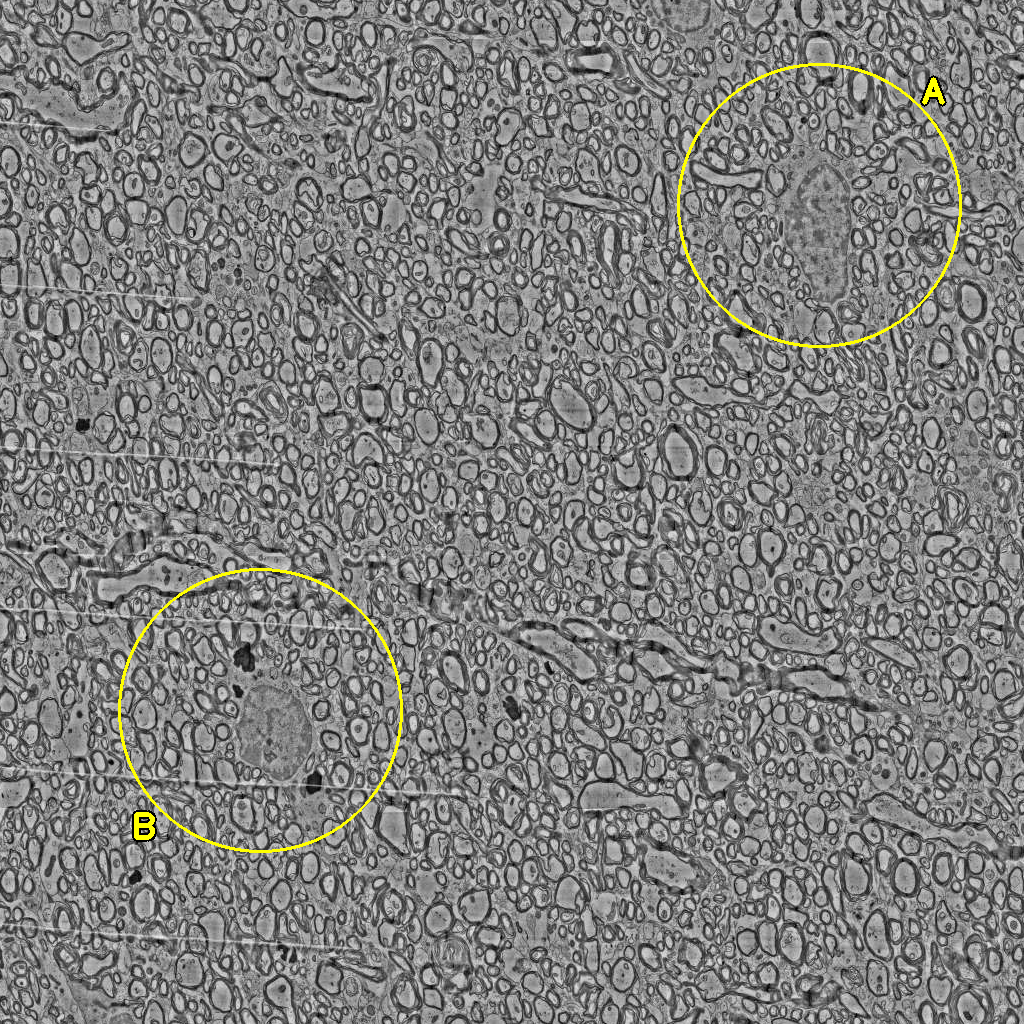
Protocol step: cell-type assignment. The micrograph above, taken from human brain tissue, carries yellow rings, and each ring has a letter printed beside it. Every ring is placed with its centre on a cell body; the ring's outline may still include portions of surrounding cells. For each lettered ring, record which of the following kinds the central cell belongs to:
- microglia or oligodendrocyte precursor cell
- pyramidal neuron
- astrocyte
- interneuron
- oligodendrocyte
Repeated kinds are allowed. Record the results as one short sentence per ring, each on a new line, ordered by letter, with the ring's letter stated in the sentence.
In ring A, the central cell is an oligodendrocyte.
In ring B, the central cell is an oligodendrocyte.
